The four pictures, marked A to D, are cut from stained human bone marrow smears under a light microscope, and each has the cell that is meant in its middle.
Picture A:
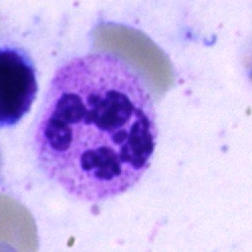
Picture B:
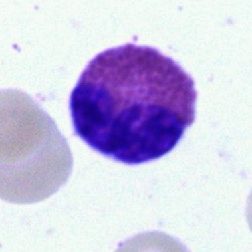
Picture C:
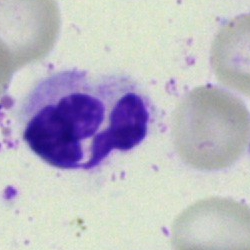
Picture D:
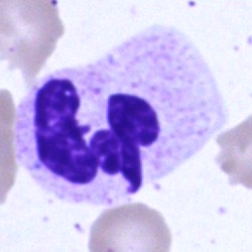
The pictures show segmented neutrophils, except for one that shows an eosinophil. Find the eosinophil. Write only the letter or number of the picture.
B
